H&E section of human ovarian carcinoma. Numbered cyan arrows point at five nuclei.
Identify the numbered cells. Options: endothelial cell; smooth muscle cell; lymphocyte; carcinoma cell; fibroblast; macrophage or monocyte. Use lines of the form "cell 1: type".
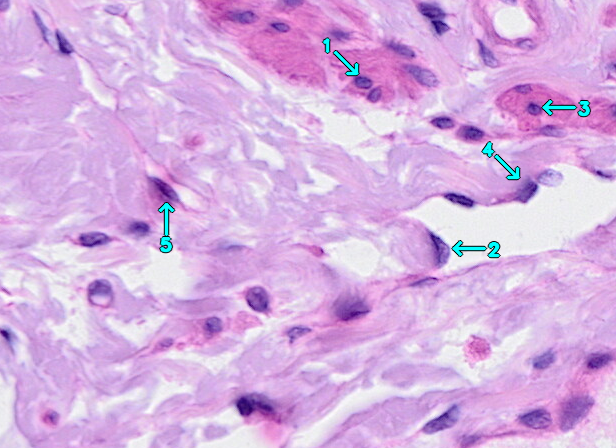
cell 1: smooth muscle cell
cell 2: endothelial cell
cell 3: smooth muscle cell
cell 4: endothelial cell
cell 5: endothelial cell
